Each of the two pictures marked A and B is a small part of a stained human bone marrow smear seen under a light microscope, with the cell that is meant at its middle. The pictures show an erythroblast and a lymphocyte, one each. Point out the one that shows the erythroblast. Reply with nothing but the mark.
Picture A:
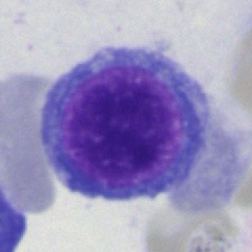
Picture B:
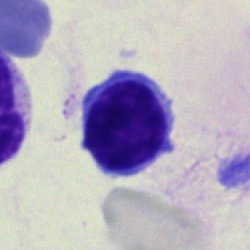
A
